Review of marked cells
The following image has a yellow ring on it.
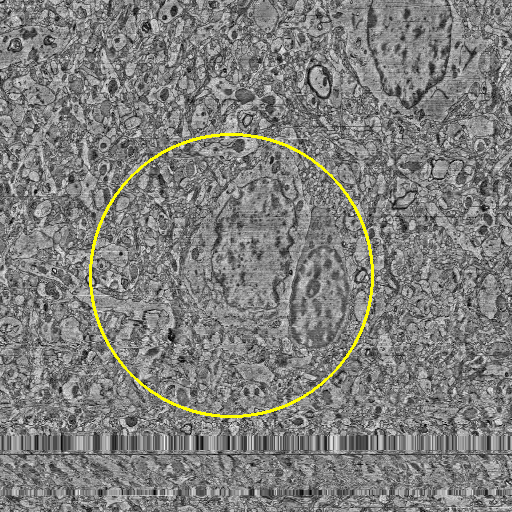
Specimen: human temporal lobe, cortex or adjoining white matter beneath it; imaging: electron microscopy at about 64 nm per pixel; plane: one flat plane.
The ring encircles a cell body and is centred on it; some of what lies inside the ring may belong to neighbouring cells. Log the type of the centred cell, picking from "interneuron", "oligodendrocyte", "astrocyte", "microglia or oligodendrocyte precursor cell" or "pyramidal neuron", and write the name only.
interneuron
